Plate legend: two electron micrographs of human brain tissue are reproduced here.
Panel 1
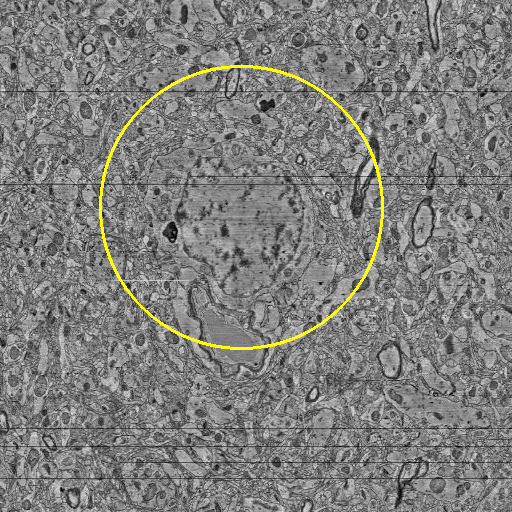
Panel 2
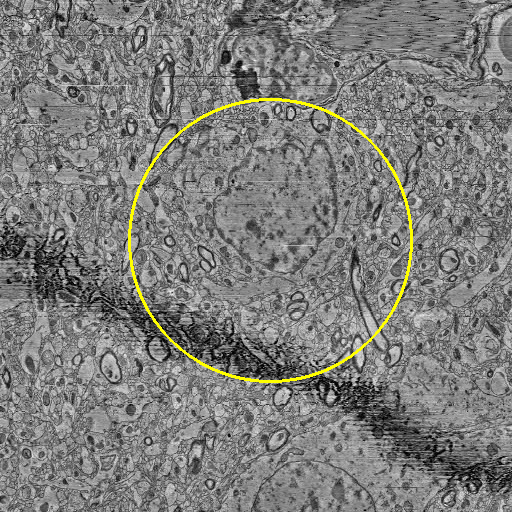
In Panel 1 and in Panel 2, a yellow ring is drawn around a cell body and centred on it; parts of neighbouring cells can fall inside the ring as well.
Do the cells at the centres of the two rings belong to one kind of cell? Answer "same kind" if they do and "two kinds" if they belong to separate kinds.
same kind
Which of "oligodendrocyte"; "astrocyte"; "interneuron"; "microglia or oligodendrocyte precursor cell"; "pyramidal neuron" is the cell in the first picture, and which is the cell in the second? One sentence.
In each of the two pictures, the ringed cell is an interneuron.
